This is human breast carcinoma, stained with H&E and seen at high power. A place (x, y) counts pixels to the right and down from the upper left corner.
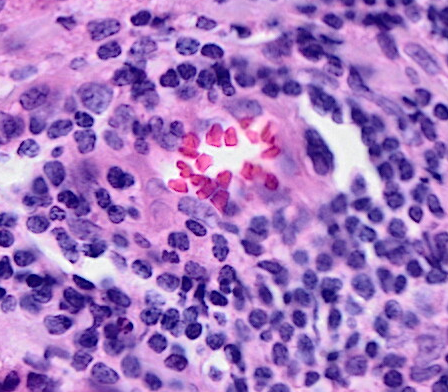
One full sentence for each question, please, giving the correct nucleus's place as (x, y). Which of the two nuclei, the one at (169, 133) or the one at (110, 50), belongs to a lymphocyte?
Belonging to a lymphocyte is the nucleus at (110, 50).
